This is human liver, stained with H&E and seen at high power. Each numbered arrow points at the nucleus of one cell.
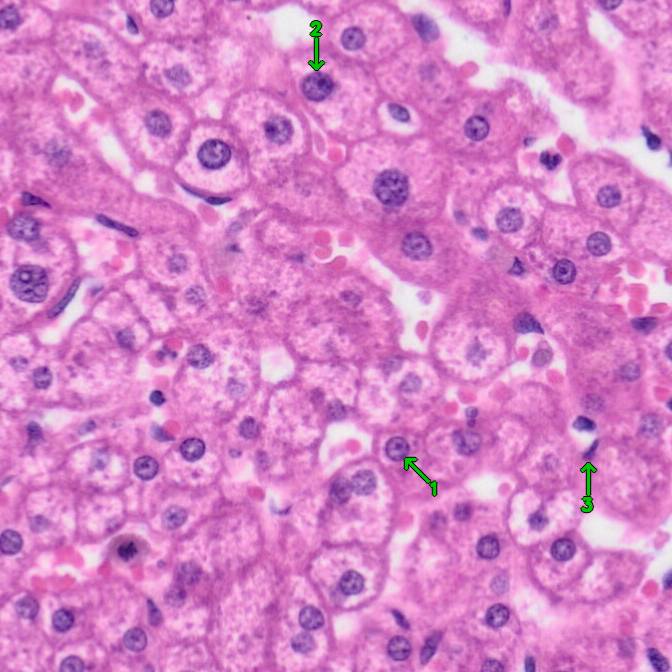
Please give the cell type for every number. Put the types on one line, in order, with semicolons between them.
hepatocyte; hepatocyte; endothelial cell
